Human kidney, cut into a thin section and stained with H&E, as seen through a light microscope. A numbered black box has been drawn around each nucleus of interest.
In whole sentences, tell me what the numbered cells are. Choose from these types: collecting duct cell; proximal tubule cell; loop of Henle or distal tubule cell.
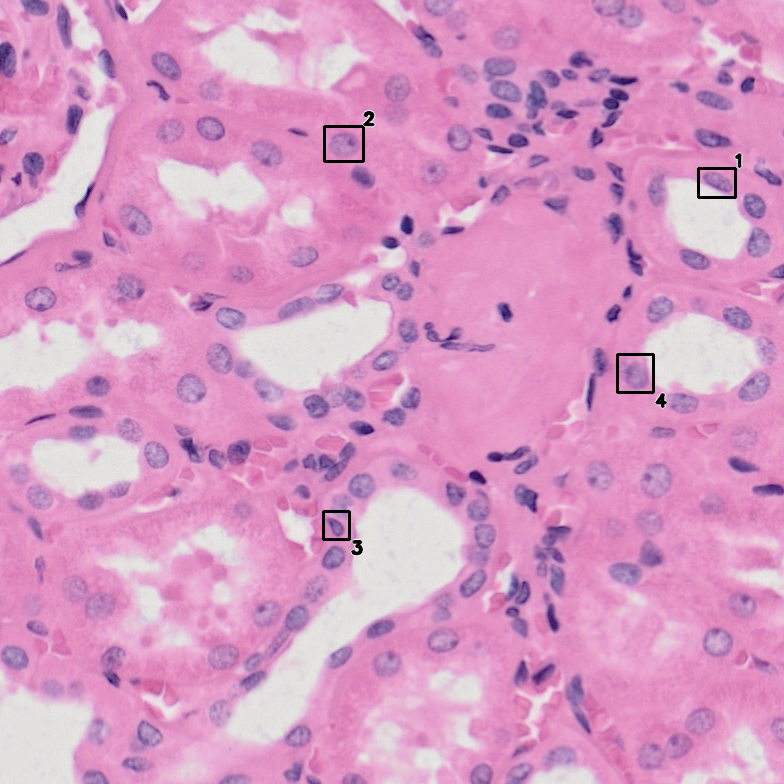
Cells 1 and 4 are loop of Henle or distal tubule cells. Cell 2 is a proximal tubule cell. Cell 3 is a collecting duct cell.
